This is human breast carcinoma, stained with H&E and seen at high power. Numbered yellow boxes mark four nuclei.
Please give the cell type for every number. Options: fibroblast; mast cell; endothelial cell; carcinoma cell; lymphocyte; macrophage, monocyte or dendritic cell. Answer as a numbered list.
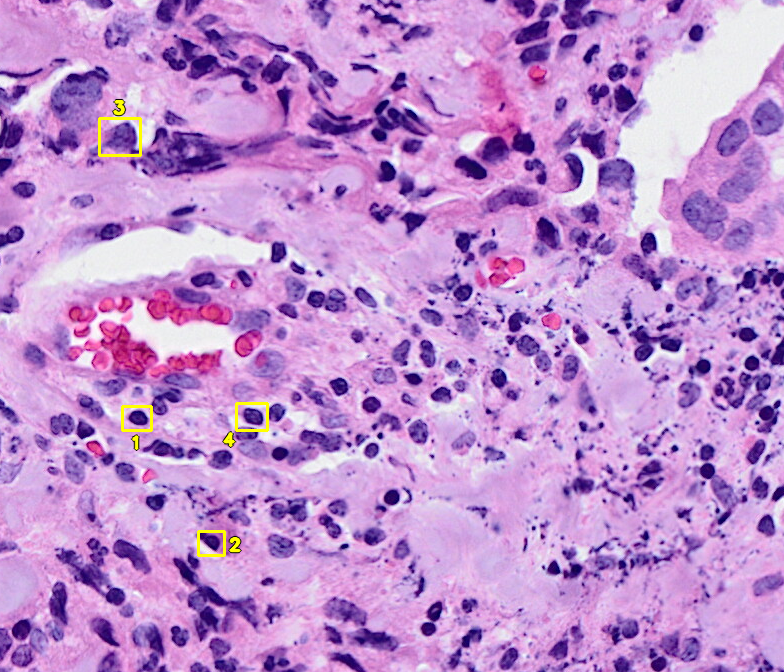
1. lymphocyte
2. lymphocyte
3. carcinoma cell
4. lymphocyte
